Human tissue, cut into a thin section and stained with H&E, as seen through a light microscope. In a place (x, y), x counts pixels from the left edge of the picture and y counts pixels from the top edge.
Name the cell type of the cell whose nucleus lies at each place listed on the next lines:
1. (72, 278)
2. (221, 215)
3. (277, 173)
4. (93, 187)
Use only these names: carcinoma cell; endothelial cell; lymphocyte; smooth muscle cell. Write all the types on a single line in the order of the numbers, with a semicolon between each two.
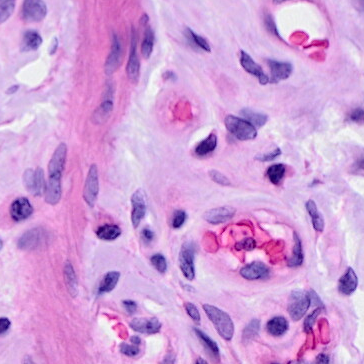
smooth muscle cell; endothelial cell; lymphocyte; smooth muscle cell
